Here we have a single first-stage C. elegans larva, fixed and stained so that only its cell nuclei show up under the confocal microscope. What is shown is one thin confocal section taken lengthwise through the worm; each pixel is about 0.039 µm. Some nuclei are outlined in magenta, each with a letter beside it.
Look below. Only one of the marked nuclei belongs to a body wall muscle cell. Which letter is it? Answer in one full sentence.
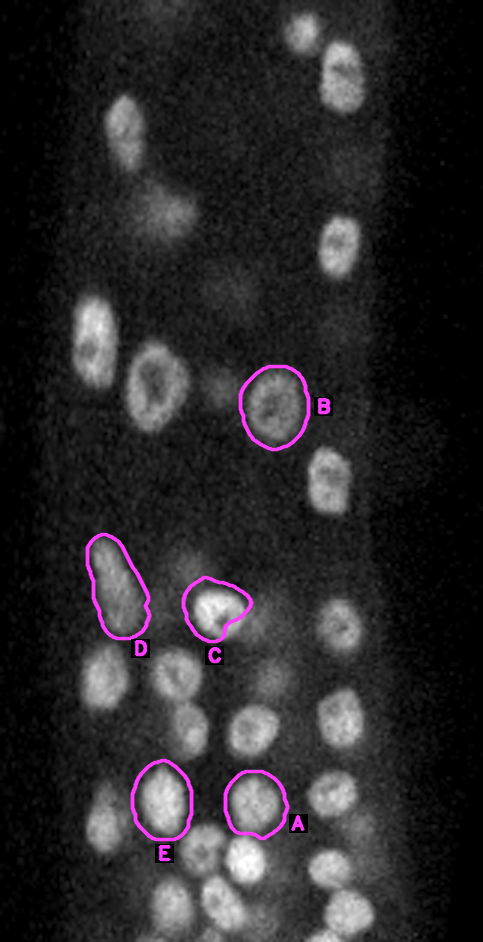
The nucleus of a body wall muscle cell is D.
